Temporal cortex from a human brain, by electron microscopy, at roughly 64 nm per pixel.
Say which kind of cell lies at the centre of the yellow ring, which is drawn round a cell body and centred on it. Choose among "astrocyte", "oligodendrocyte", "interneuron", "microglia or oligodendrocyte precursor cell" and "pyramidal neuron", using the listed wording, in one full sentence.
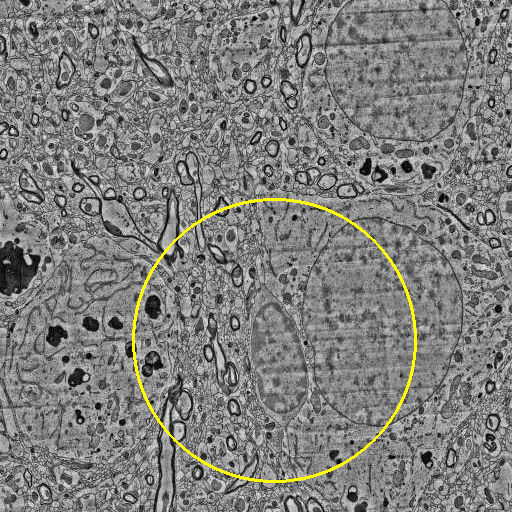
Going by the list, the cell at the yellow ring's centre is an oligodendrocyte.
